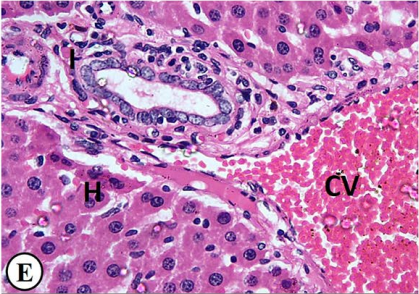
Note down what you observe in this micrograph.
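Portal area of liver with a bile duct, surrounding connective tissue with small dark nuclei, and an adjacent vein packed with red blood cells. The duct is lined by a single layer of cuboidal cells with dark round nuclei around an open lumen. Small round dark nuclei of infiltrating cells lie in the connective tissue around the duct. Hepatocytes at the left and bottom have pink cytoplasm and round nuclei, some of them small and dark.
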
